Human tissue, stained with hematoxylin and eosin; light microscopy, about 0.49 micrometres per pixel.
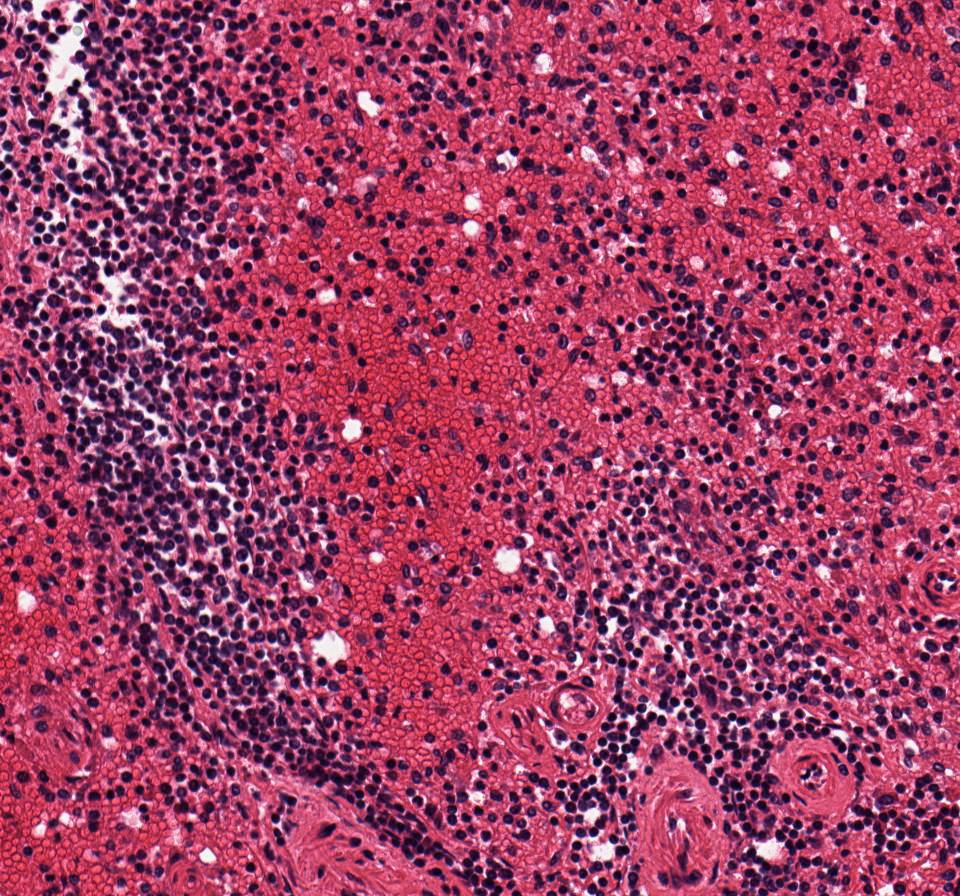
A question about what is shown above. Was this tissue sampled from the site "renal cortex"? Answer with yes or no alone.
no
